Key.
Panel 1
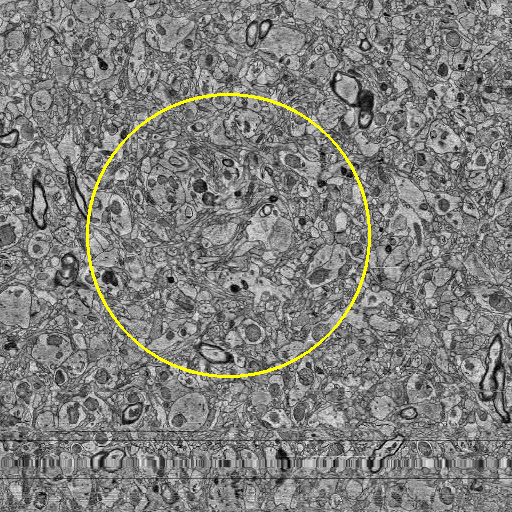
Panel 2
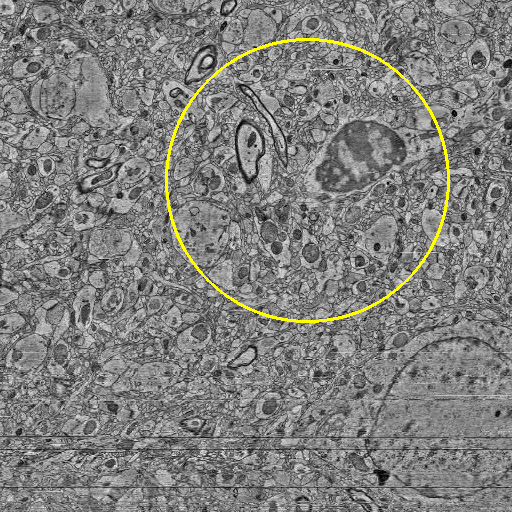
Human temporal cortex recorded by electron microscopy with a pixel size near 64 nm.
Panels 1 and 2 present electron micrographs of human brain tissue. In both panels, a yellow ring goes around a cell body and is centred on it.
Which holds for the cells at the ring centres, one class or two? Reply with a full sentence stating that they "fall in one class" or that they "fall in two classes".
Taken together, the ring-centre cells of the two panels fall in one class.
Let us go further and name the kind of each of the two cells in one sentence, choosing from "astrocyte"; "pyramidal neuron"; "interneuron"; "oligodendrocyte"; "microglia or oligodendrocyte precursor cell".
In each of the two pictures, the ringed cell is a microglial cell or oligodendrocyte precursor cell.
